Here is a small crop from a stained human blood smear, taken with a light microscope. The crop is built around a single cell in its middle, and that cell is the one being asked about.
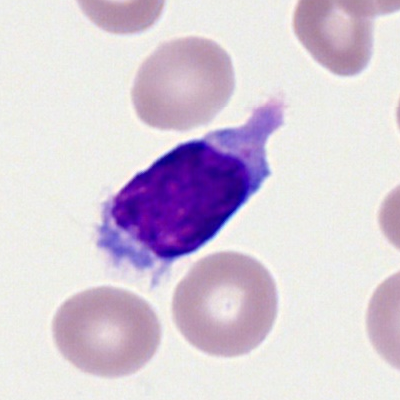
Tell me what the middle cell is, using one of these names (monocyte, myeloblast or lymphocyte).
lymphocyte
